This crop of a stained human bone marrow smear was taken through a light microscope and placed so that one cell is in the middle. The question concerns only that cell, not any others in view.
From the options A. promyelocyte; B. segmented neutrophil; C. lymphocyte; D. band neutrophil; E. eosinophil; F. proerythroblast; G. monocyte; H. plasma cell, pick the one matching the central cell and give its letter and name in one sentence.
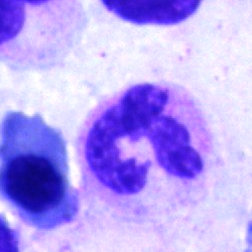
Option B is correct in that the central cell is a segmented neutrophil.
